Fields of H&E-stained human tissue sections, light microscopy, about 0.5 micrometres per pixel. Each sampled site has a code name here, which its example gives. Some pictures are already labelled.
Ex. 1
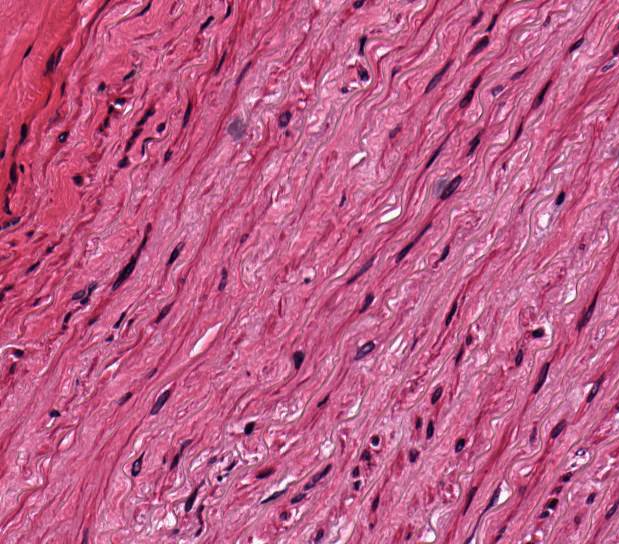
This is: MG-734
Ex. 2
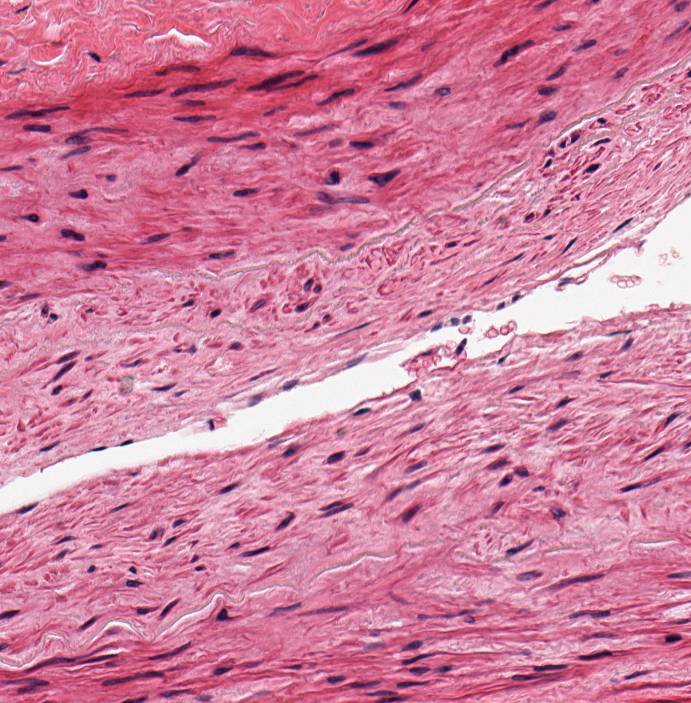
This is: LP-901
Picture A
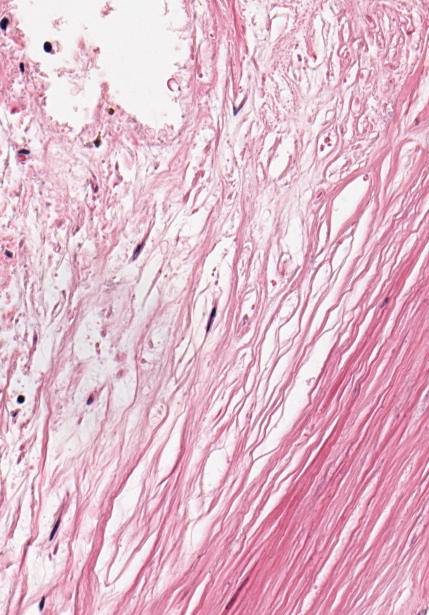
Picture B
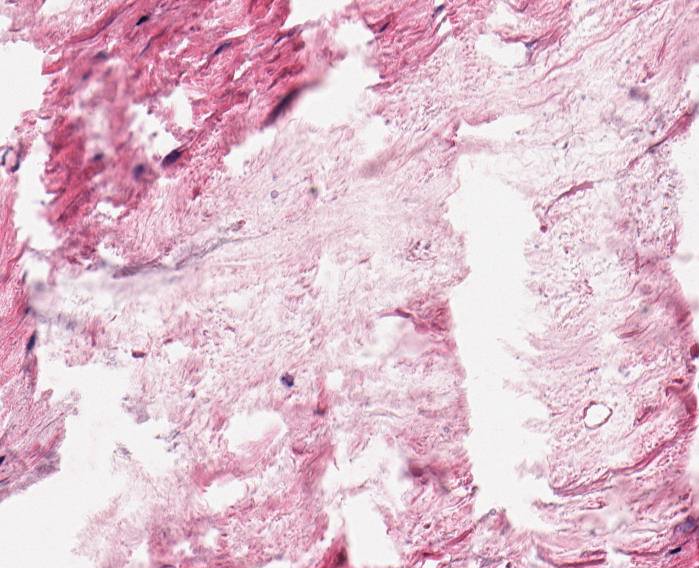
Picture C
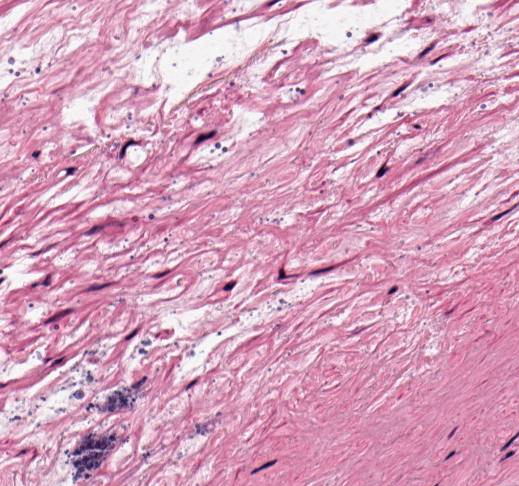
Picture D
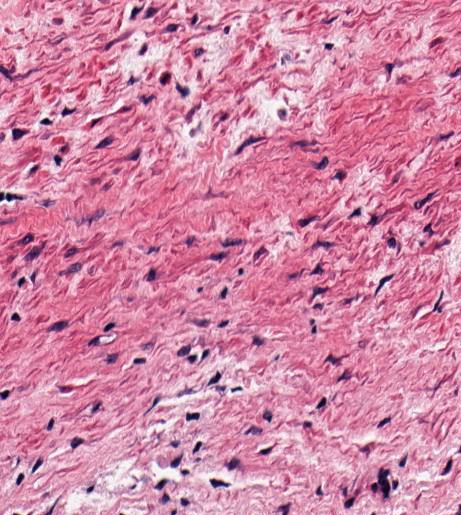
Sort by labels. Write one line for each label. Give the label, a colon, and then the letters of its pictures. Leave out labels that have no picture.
LP-901: A, B, C, D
